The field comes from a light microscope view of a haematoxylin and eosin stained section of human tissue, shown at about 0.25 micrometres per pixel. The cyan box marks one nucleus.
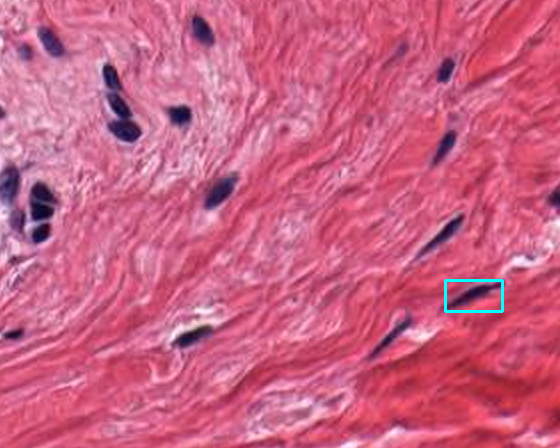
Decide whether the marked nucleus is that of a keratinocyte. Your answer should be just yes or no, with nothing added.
no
